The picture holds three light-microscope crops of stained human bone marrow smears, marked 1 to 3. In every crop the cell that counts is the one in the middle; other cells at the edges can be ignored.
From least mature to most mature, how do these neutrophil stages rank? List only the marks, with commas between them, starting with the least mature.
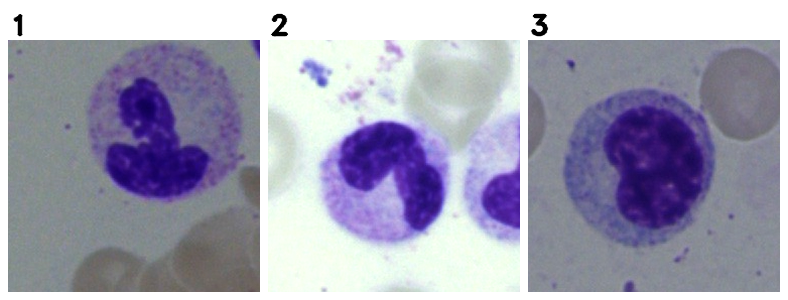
3, 2, 1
